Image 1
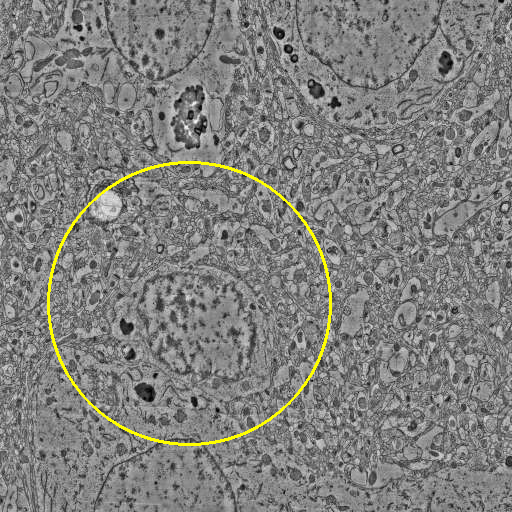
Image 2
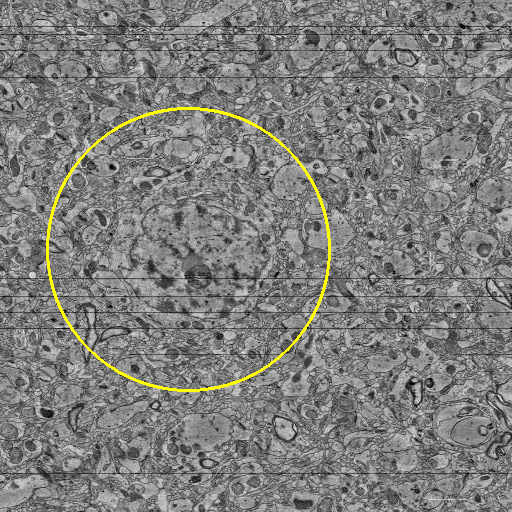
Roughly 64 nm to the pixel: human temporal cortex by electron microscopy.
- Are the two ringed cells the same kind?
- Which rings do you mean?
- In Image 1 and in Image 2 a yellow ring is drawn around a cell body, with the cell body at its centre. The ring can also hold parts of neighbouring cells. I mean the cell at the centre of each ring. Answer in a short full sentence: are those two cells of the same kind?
Yes, both cells are of the same kind.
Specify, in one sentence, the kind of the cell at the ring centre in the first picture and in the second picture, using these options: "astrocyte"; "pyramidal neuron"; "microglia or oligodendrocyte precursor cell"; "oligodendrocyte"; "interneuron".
Each of the two cells is an interneuron.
